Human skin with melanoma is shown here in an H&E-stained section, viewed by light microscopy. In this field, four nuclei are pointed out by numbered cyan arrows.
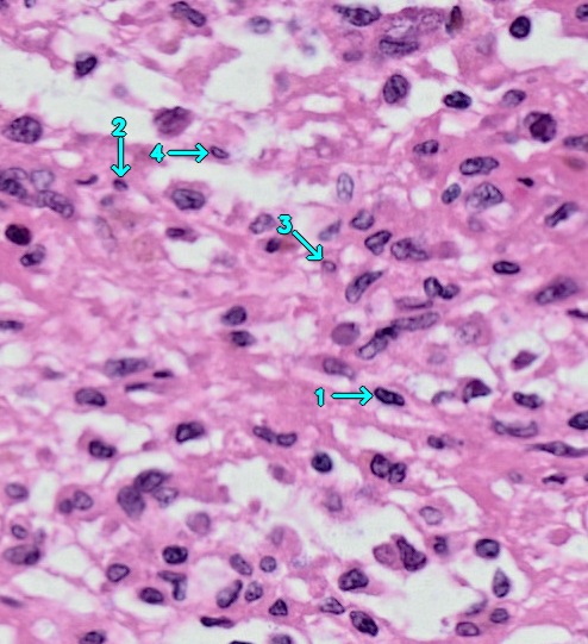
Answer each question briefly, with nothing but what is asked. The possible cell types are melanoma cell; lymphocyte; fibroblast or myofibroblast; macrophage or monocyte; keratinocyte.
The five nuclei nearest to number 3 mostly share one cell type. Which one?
macrophage or monocyte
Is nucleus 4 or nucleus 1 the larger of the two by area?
1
